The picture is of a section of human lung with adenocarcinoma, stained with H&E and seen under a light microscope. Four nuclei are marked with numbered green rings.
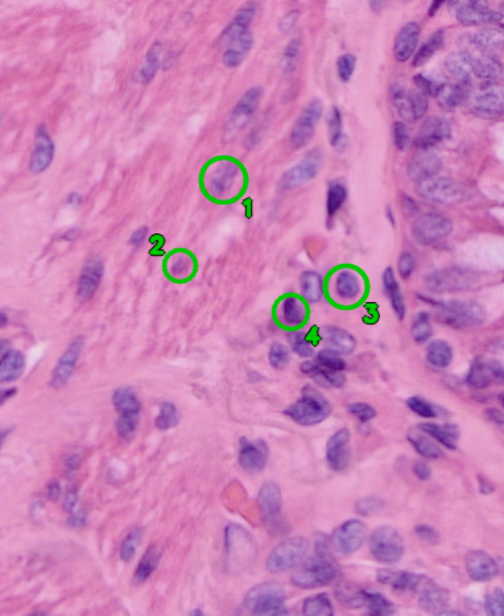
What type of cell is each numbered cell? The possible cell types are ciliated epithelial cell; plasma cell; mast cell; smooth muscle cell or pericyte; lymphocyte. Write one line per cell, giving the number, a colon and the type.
1: smooth muscle cell or pericyte
2: smooth muscle cell or pericyte
3: mast cell
4: plasma cell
